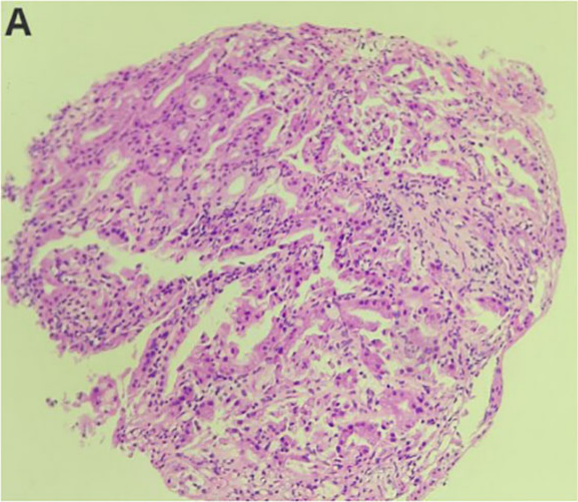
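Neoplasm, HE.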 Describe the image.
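This is a rounded fragment of tumour tissue built of papillary fronds with fibrovascular cores. Many branching and elongated fronds are separated by clear slit-like and irregular spaces. The fronds are covered by cells with pink cytoplasm and purple nuclei, while their centres hold denser bands of small, dark nuclei belonging to the stroma. Small gland-like lumina appear among the fronds. Overall, the fragment shows a crowded, complex papillary architecture rather than a solid sheet of cells.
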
